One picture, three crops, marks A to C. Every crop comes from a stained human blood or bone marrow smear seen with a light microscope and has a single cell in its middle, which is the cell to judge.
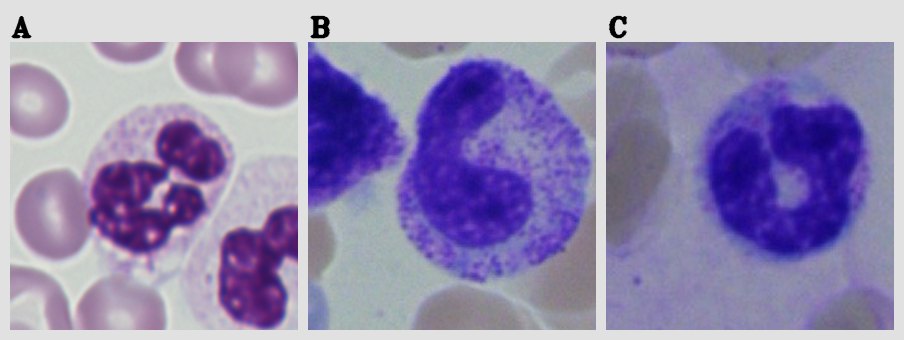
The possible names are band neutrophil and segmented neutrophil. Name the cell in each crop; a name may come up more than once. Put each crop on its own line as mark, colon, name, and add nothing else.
A: segmented neutrophil
B: band neutrophil
C: band neutrophil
